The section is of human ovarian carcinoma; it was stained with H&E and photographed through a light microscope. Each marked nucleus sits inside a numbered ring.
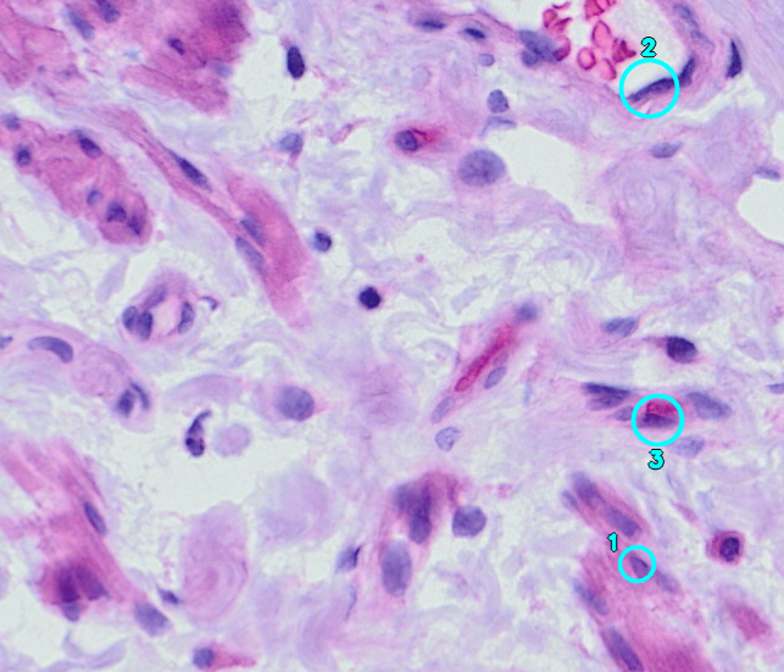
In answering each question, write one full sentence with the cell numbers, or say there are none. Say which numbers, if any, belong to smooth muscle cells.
Among the numbered cells, cell 1 alone is a smooth muscle cell.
